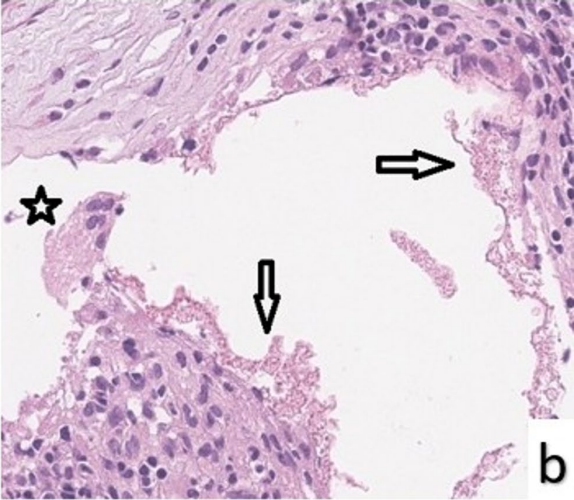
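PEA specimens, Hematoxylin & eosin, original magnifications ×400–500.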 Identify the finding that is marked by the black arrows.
Eosinophilic, granular amorphous material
